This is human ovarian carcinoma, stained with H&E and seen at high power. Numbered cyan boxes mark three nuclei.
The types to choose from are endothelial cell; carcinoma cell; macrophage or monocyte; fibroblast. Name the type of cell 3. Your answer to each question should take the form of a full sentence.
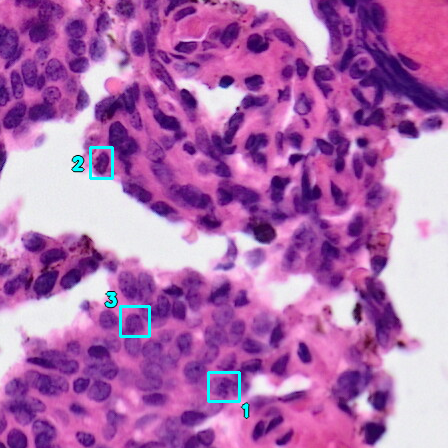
The one numbered 3 among the marked cells is a carcinoma cell.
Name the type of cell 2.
Classified as a macrophage or monocyte is the cell with the number 2.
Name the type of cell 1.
Numbered cell 1 is a carcinoma cell in this tissue section.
